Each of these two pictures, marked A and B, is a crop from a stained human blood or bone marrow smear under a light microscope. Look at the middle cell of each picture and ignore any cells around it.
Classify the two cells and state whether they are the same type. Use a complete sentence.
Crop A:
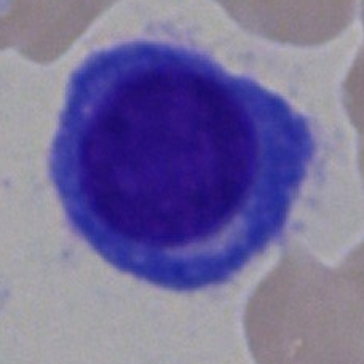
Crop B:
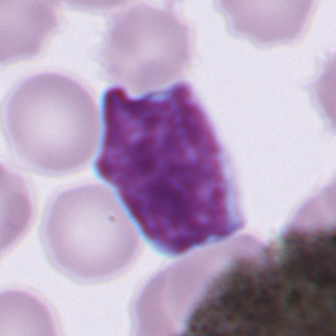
No, crop A features a plasma cell, and crop B features a lymphocyte.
